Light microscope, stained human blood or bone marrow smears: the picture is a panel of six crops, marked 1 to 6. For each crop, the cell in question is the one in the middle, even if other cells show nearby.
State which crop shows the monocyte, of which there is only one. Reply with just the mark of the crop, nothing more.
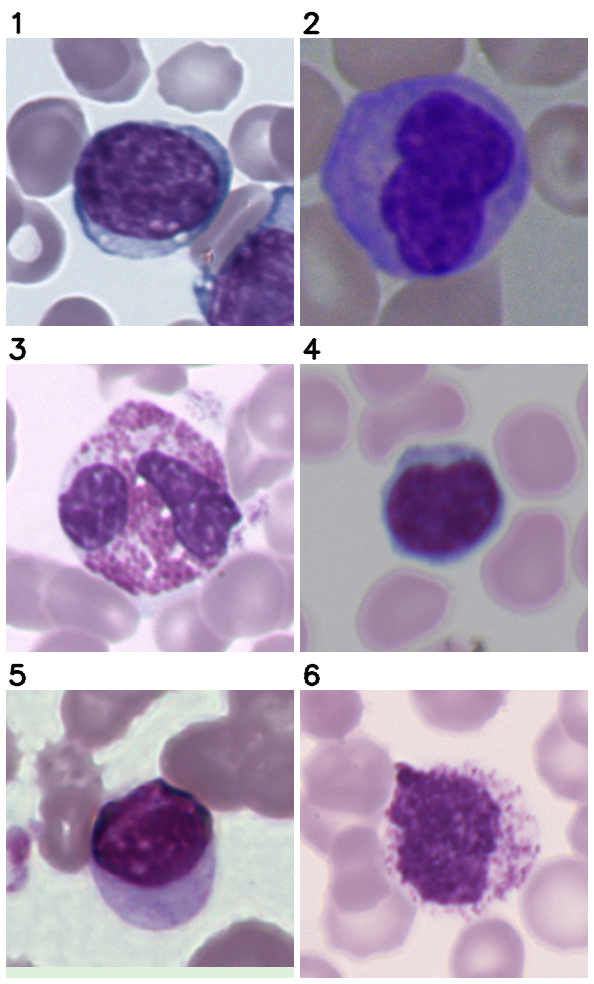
2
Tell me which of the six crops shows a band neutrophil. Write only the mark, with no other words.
6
